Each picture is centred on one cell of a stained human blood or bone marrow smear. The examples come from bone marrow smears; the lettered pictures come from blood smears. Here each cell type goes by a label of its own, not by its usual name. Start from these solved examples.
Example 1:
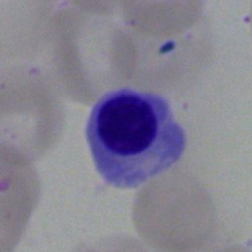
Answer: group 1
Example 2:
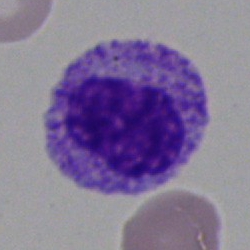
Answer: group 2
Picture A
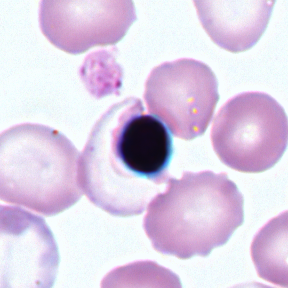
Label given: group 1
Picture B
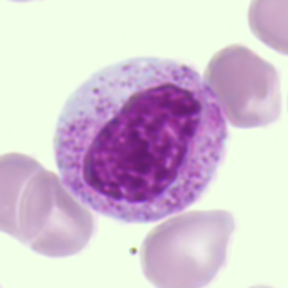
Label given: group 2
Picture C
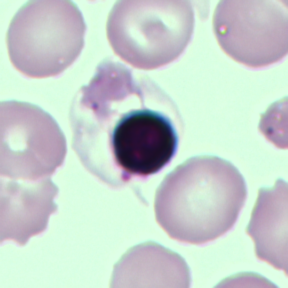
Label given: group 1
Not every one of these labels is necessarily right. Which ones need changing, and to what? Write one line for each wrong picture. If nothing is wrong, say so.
All correct.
